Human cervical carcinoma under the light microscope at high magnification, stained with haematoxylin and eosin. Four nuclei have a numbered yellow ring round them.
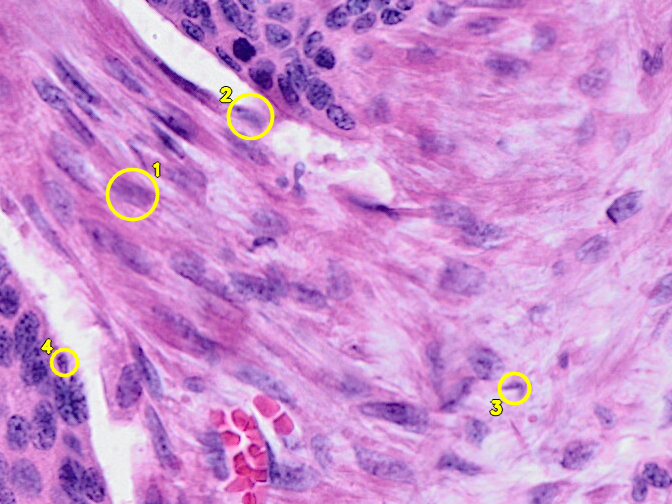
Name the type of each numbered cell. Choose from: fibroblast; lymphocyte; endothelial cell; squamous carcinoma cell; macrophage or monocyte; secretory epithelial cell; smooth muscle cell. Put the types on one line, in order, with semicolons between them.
fibroblast; fibroblast; fibroblast; squamous carcinoma cell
